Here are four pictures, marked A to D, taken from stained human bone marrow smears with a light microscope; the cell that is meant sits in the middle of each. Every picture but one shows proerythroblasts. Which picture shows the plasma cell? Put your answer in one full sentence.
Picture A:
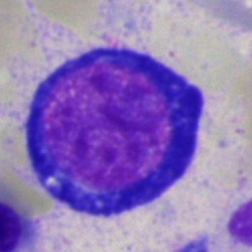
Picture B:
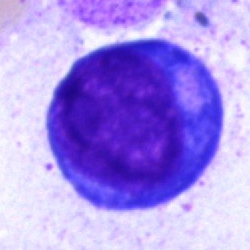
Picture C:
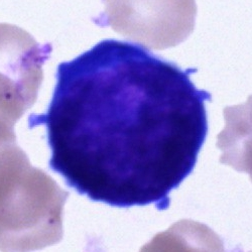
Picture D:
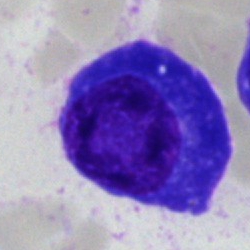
Picture D shows the plasma cell.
